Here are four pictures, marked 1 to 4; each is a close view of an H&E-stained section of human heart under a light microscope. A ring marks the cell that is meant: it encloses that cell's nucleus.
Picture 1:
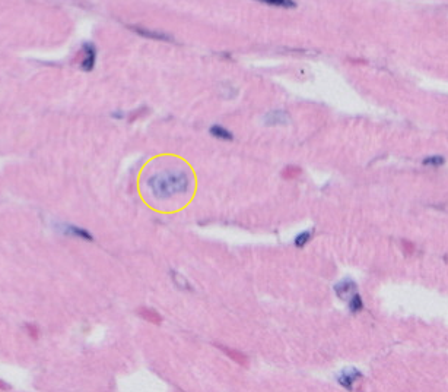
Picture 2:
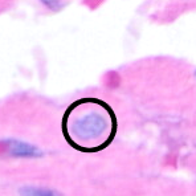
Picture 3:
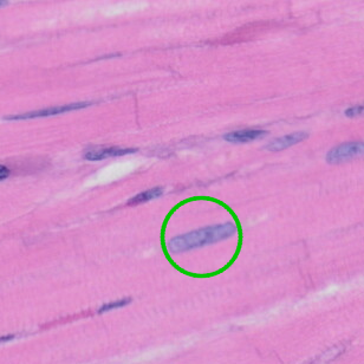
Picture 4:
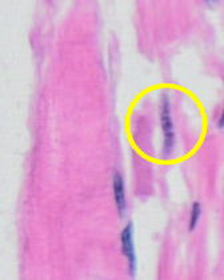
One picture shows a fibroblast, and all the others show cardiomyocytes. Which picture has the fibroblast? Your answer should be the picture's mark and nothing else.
4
